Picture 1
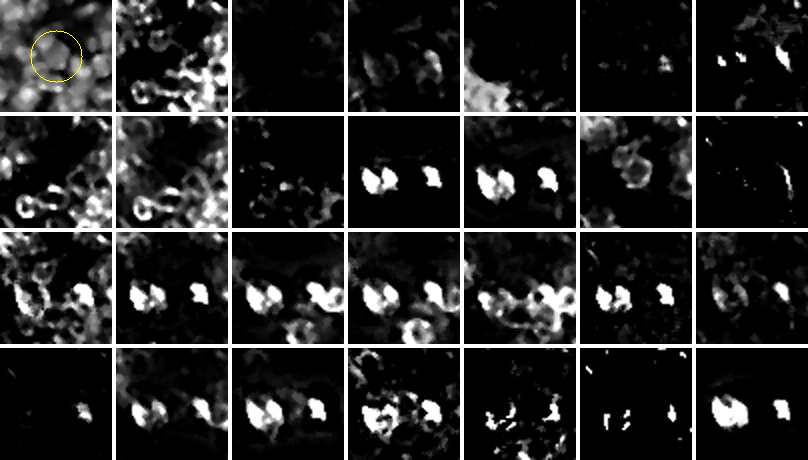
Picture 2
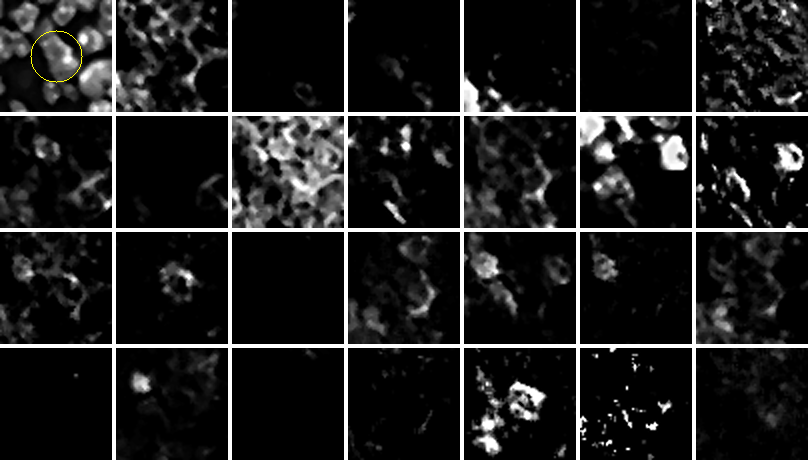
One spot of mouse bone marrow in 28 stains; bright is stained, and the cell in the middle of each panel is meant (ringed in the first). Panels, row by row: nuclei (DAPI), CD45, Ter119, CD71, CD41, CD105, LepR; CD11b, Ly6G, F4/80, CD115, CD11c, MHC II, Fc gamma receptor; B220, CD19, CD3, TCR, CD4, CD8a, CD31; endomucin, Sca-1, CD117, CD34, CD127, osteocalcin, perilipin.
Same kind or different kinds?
Different: the first is a KLS stem or progenitor cell, the second a common lymphoid progenitor.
